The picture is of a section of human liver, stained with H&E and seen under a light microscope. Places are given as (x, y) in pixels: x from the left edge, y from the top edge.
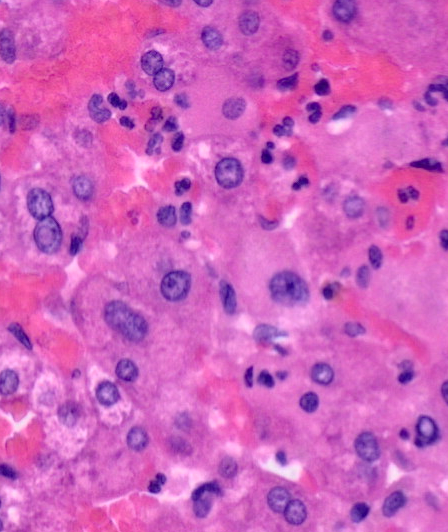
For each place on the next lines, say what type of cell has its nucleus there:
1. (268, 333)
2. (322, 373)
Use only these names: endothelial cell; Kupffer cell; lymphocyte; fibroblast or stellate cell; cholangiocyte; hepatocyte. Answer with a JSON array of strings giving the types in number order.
["endothelial cell", "hepatocyte"]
